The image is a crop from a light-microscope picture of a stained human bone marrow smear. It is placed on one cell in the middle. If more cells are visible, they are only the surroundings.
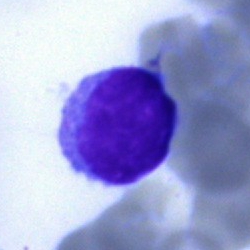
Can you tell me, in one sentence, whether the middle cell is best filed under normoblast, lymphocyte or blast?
This crop has a lymphocyte at its centre.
